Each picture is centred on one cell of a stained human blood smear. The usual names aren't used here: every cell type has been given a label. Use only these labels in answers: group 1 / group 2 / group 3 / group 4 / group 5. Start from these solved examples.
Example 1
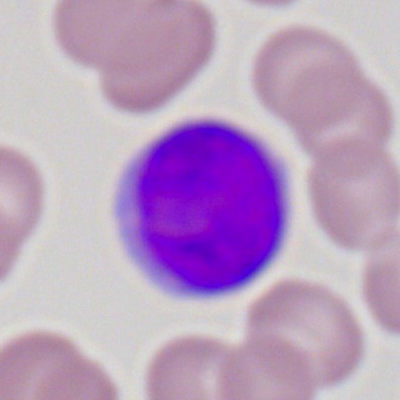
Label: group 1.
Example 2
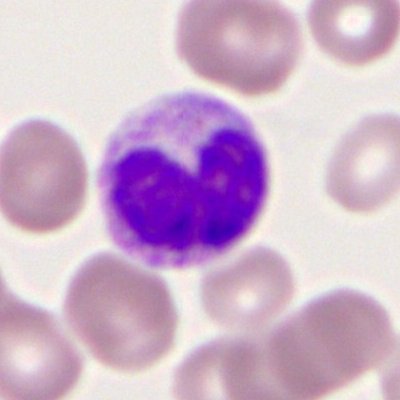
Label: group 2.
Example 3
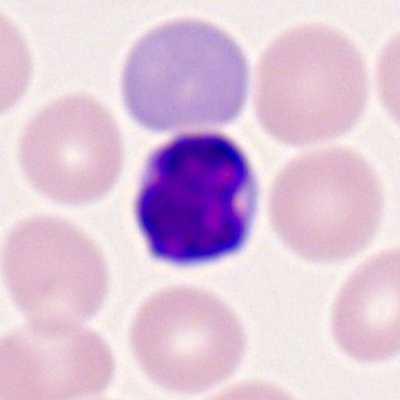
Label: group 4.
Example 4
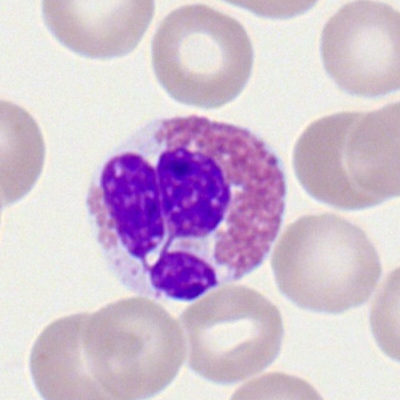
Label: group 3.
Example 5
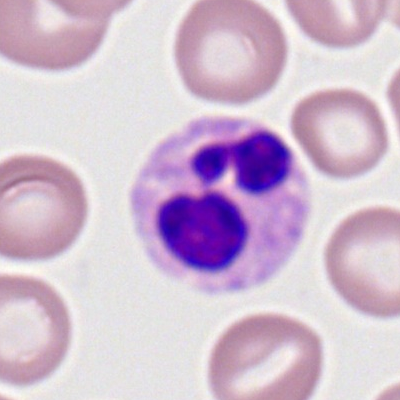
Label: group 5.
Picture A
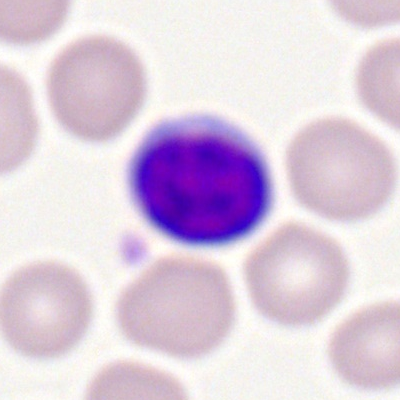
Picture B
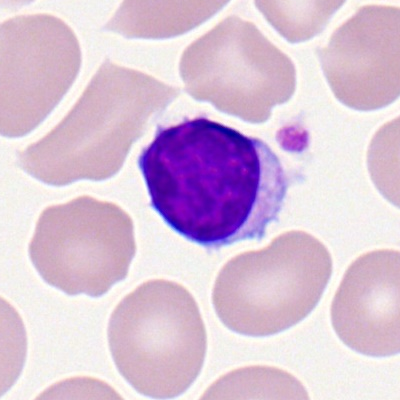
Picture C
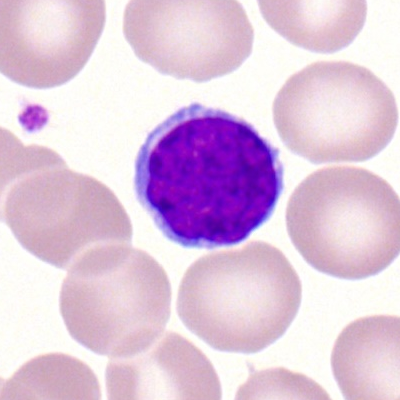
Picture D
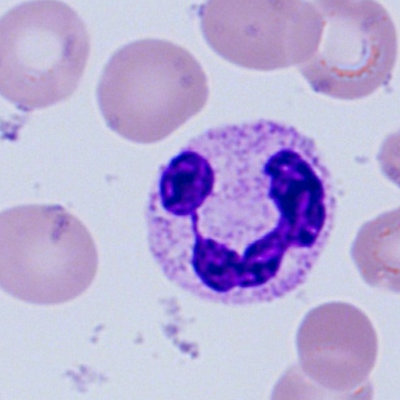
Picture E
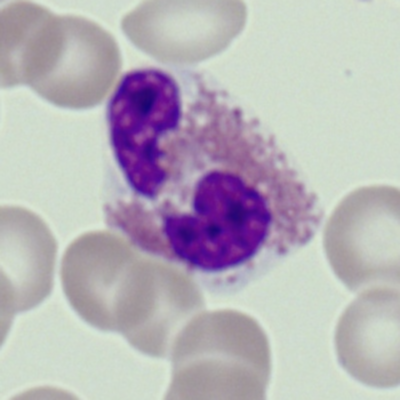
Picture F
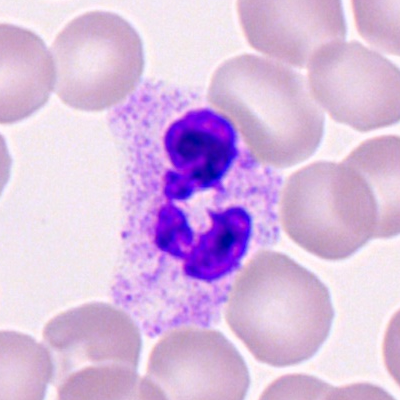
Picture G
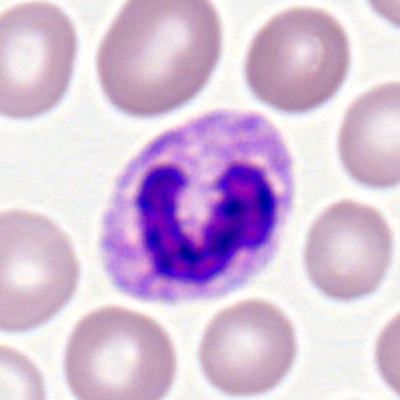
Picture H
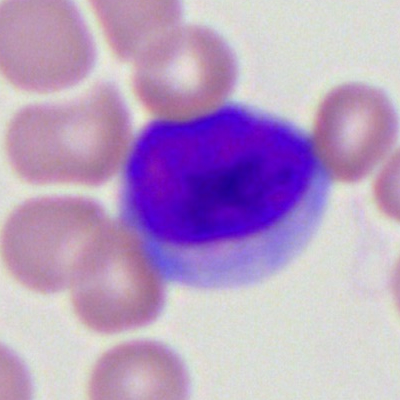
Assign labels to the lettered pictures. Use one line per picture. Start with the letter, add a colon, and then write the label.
A: group 4.
B: group 4.
C: group 4.
D: group 5.
E: group 3.
F: group 5.
G: group 2.
H: group 1.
